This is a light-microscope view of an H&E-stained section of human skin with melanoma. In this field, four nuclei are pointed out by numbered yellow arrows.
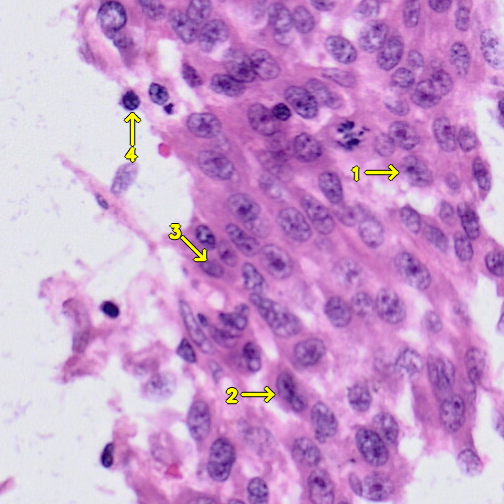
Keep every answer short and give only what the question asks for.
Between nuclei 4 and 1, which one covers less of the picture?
4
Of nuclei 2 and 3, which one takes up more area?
2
